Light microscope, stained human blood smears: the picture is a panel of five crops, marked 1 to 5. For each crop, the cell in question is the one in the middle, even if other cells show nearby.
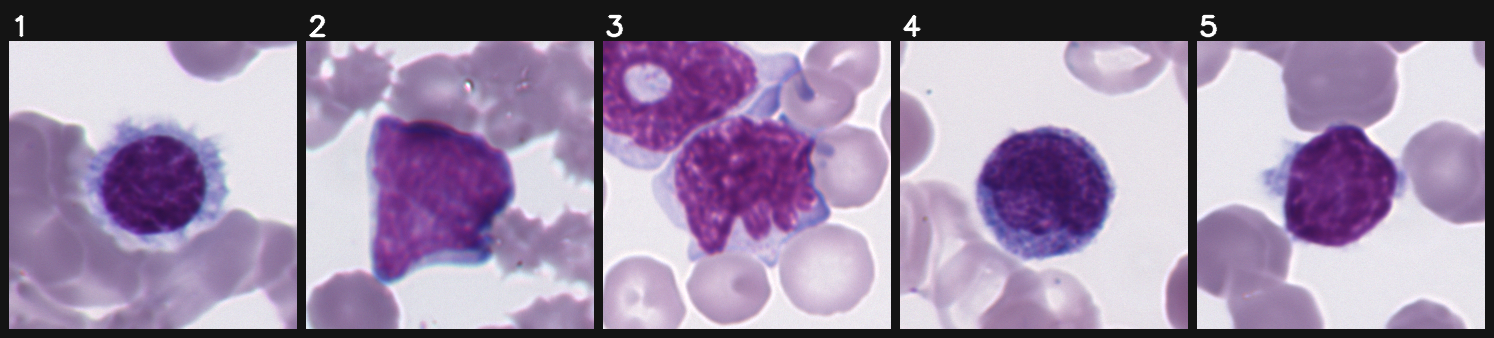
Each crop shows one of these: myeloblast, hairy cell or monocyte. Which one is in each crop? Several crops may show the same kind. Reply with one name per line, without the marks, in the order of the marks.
hairy cell
myeloblast
monocyte
monocyte
hairy cell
